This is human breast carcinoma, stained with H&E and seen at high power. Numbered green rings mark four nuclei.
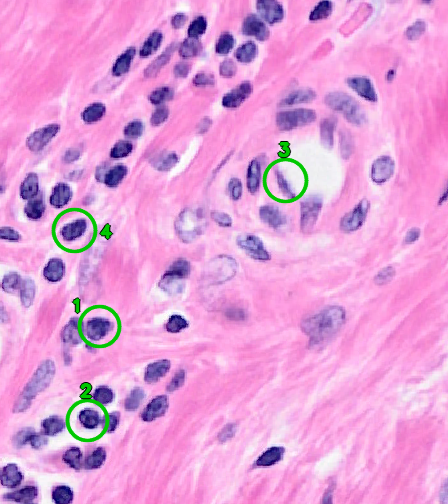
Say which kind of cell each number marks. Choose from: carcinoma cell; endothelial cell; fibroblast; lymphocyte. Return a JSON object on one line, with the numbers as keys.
{"1": "lymphocyte", "2": "lymphocyte", "3": "endothelial cell", "4": "lymphocyte"}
